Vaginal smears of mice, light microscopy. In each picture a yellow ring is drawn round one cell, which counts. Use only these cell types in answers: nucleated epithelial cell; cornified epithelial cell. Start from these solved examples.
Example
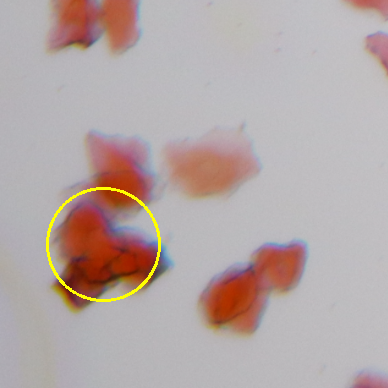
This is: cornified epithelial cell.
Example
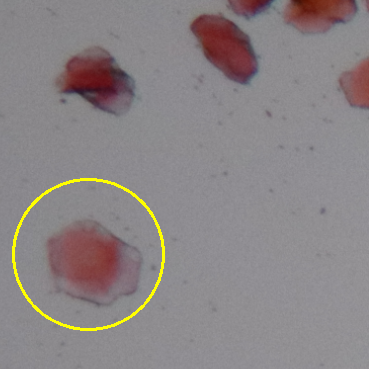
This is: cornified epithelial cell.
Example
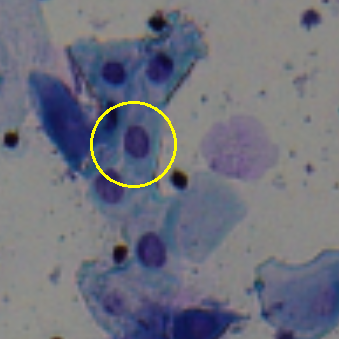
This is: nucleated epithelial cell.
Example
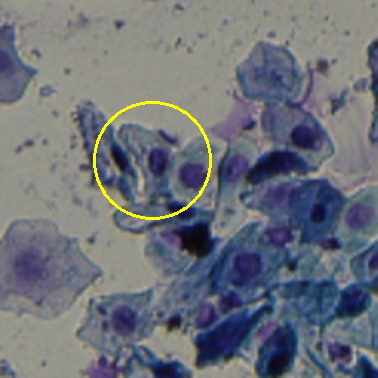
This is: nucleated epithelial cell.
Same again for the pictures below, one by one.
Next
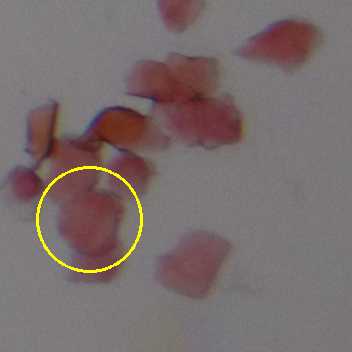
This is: cornified epithelial cell.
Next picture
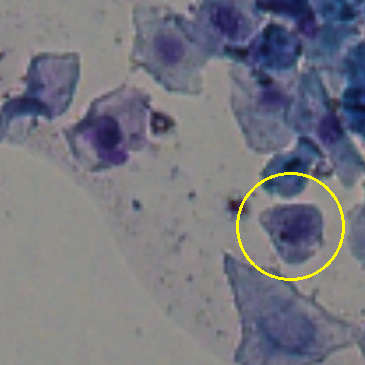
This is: nucleated epithelial cell.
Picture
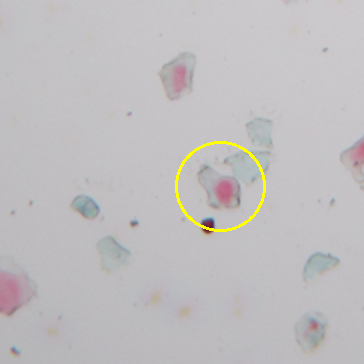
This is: nucleated epithelial cell.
